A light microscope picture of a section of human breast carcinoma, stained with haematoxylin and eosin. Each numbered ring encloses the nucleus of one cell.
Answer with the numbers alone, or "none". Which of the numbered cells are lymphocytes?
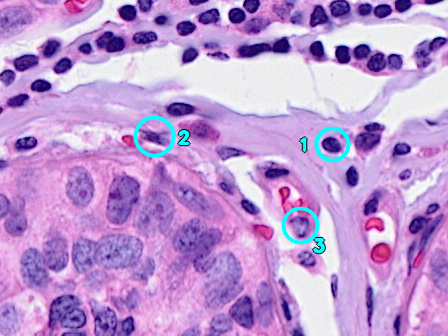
1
